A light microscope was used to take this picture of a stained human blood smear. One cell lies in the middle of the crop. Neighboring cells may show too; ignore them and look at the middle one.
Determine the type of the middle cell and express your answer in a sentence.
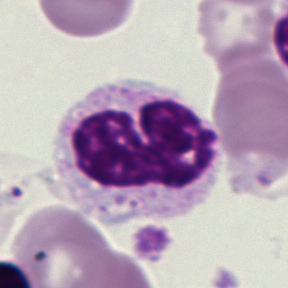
In the central position of this crop, the cell is a band neutrophil.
